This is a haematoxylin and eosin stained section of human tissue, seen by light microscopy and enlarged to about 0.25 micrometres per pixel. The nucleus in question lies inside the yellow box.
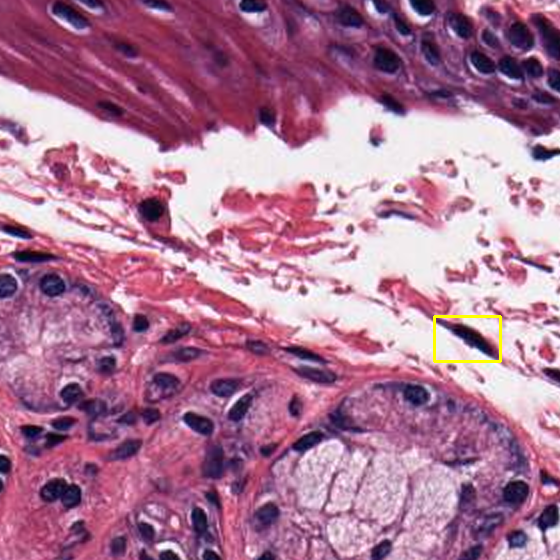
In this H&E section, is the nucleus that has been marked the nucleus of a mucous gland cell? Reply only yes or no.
no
